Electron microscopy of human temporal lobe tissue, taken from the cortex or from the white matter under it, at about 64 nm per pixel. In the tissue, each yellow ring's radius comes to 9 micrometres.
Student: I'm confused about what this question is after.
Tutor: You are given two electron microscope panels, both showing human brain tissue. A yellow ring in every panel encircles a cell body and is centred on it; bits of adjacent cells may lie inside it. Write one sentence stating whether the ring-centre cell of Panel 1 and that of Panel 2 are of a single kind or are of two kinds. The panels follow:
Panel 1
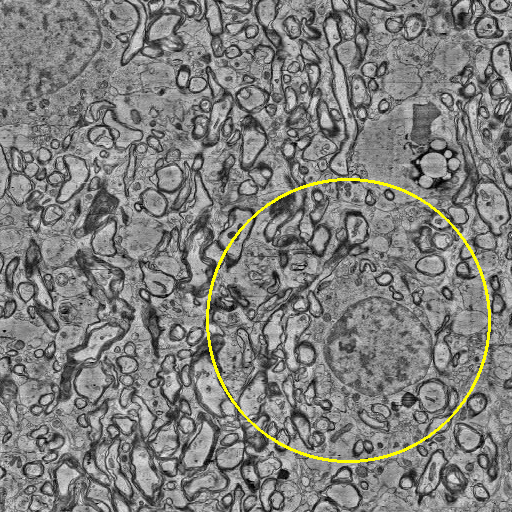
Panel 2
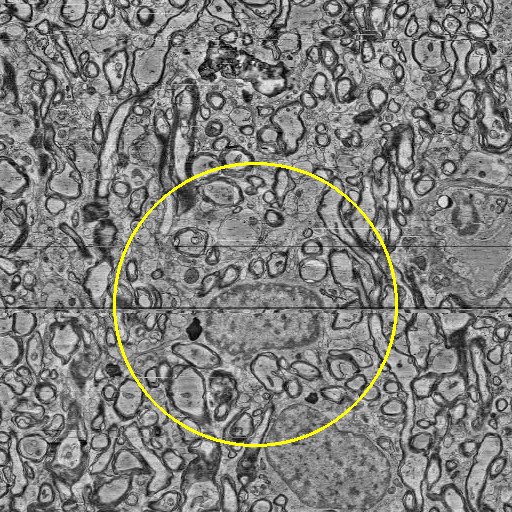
Here, the Panel 1 ring-centre cell and the Panel 2 ring-centre cell are of a single kind.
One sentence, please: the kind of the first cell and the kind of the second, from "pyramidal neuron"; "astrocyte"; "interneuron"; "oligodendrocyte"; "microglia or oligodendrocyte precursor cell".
The cell in the first picture is an oligodendrocyte, and so is the one in the second.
